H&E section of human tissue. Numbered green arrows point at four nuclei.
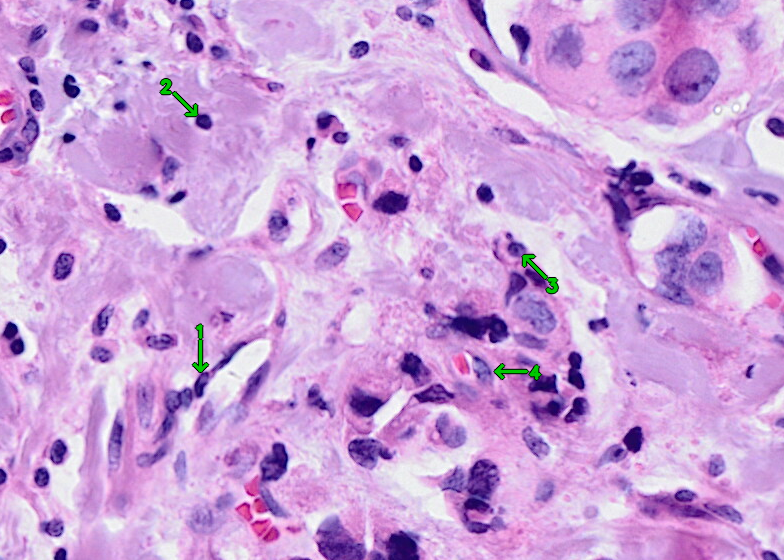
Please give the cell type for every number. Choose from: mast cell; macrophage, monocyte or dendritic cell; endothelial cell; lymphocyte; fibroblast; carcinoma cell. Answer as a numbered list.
1. lymphocyte
2. lymphocyte
3. lymphocyte
4. endothelial cell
